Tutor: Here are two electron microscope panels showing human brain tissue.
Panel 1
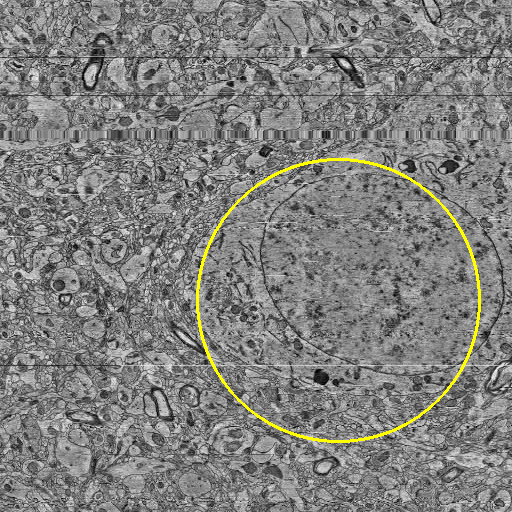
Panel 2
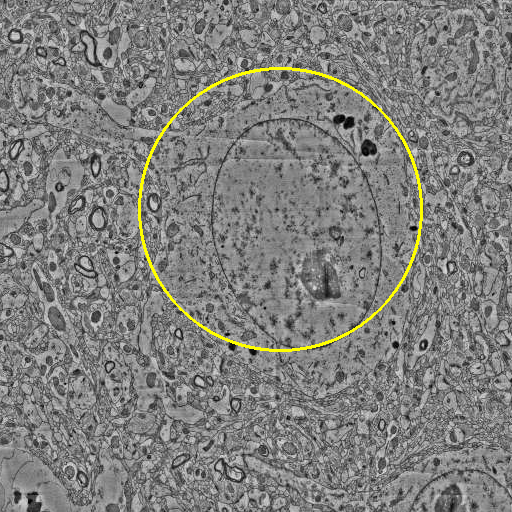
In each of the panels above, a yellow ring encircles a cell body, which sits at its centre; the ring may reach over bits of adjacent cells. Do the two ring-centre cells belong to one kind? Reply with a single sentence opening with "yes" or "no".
Yes, the two cells sitting at the ring centres in the panels belong to one kind.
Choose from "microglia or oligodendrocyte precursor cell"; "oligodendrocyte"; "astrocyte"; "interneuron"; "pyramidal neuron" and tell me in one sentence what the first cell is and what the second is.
Each of the two pictures has a pyramidal neuron at the ring centre.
